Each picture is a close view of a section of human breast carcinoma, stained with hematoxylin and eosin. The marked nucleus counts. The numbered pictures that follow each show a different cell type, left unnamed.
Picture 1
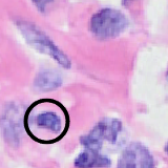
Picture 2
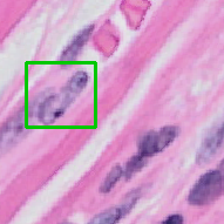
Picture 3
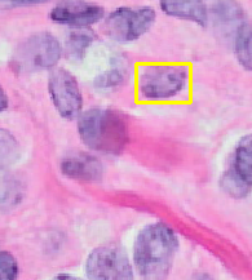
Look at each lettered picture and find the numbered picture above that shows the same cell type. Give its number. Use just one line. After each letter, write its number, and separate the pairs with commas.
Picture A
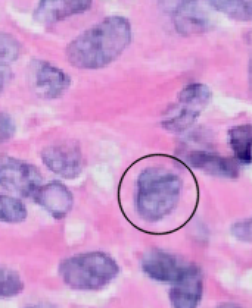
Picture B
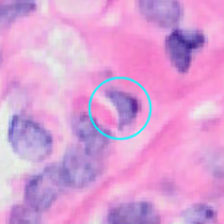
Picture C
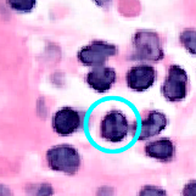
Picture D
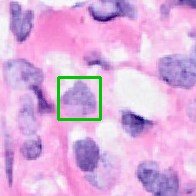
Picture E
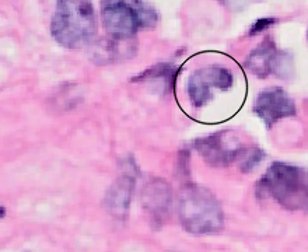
A 3, B 2, C 1, D 3, E 3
